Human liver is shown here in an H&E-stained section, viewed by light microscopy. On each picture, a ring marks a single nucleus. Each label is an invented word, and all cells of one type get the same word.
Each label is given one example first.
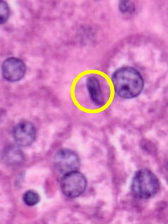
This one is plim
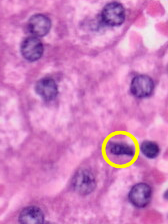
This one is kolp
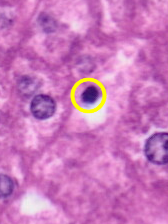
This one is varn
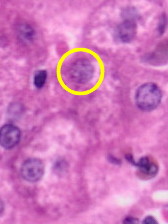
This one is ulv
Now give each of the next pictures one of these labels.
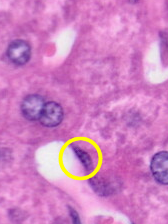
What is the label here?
kolp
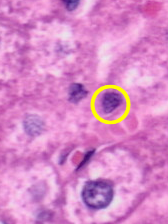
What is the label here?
kolp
